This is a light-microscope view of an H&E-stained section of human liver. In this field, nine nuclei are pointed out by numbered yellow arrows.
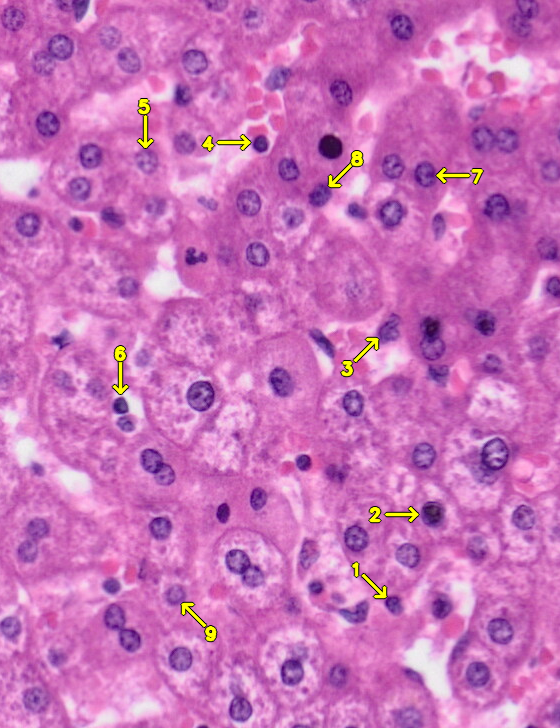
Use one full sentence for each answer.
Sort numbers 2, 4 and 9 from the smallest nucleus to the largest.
Smallest first, the nuclei run 4, 9, 2.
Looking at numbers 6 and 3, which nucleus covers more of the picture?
At about 1.5 times the area of nucleus 6, nucleus 3 is the larger of the two.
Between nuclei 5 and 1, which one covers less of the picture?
The smaller nucleus is 1, and 5 covers roughly 1.5 times its area.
